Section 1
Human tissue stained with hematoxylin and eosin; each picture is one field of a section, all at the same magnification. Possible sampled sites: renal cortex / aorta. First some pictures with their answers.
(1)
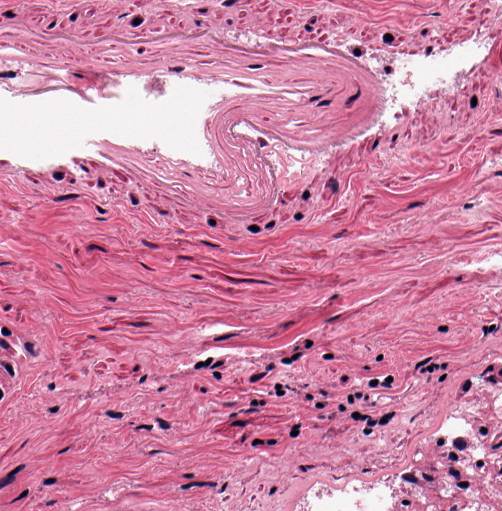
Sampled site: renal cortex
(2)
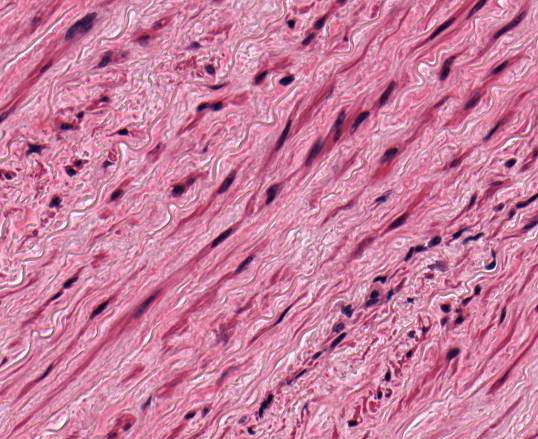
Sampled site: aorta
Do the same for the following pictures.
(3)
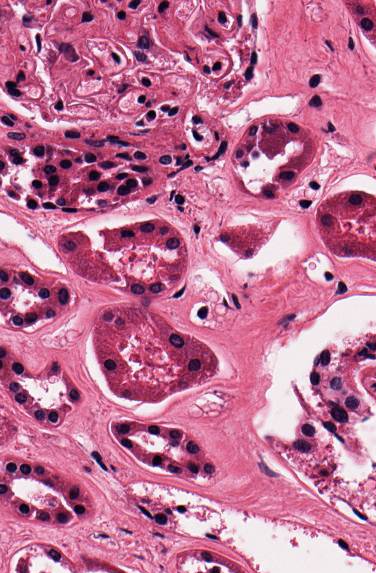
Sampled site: renal cortex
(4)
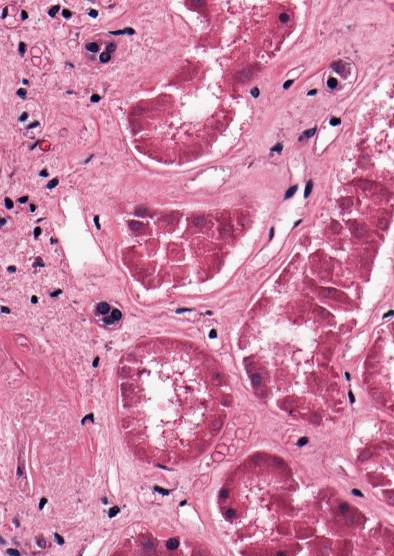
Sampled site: renal cortex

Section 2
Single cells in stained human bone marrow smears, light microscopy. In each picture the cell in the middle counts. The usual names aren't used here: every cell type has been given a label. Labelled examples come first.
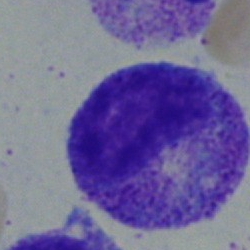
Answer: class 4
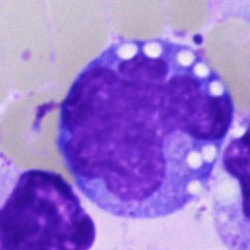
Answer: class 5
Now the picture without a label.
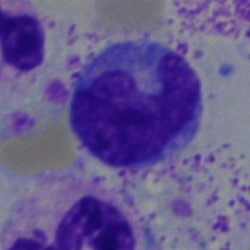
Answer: class 5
